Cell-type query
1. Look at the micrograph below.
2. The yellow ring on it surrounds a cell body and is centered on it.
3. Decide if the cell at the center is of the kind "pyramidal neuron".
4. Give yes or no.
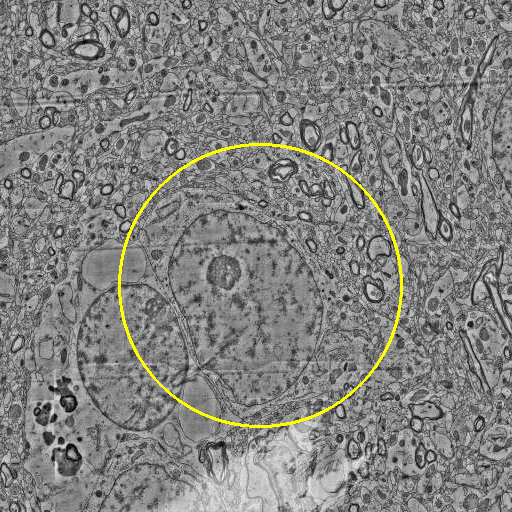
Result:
yes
